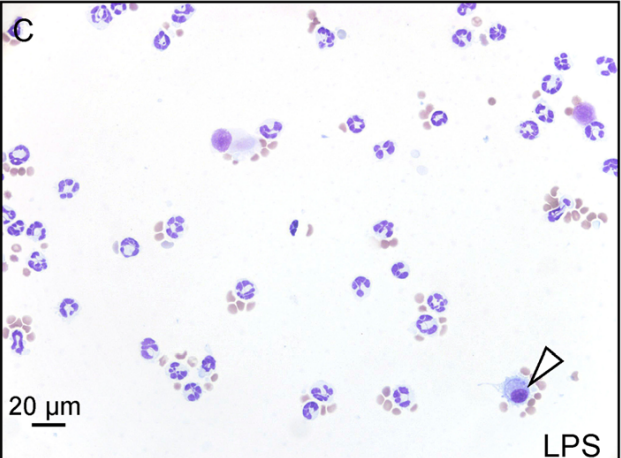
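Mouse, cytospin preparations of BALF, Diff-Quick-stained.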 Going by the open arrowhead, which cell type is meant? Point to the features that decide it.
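Macrophages. The marked cell is larger than the surrounding cells. It has a single rounded, non-segmented nucleus. It has a rim of pale bluish cytoplasm.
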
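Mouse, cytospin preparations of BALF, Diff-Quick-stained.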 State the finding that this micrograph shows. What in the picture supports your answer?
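Most cells in the field are small with segmented, lobed nuclei. Cells with single rounded nuclei are rare.
Hence: Massive neutrophil influx.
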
